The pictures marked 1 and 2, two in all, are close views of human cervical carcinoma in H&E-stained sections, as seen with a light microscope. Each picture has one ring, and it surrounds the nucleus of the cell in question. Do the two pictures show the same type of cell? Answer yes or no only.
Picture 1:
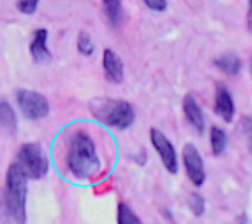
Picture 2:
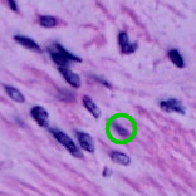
no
